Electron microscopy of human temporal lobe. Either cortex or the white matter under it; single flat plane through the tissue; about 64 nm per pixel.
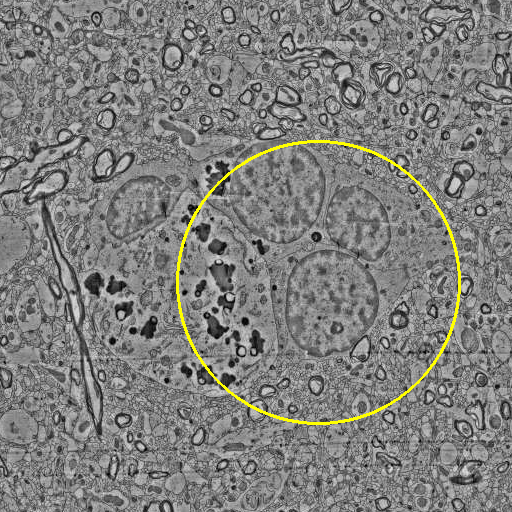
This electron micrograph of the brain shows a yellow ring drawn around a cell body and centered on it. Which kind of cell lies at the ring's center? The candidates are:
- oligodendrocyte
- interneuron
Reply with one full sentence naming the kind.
The cell lying at the ring's center in this micrograph is an oligodendrocyte.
